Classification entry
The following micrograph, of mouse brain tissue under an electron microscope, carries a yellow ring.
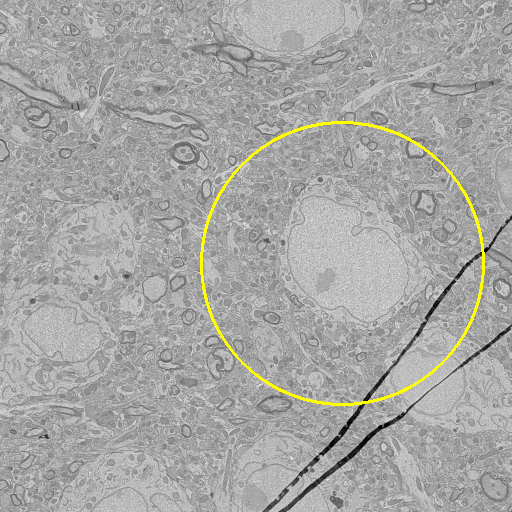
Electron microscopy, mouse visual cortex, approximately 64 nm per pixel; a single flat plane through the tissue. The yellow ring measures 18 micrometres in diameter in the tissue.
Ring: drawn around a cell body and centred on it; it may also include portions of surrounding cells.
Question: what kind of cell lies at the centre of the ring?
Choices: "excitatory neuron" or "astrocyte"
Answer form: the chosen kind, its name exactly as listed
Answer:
excitatory neuron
